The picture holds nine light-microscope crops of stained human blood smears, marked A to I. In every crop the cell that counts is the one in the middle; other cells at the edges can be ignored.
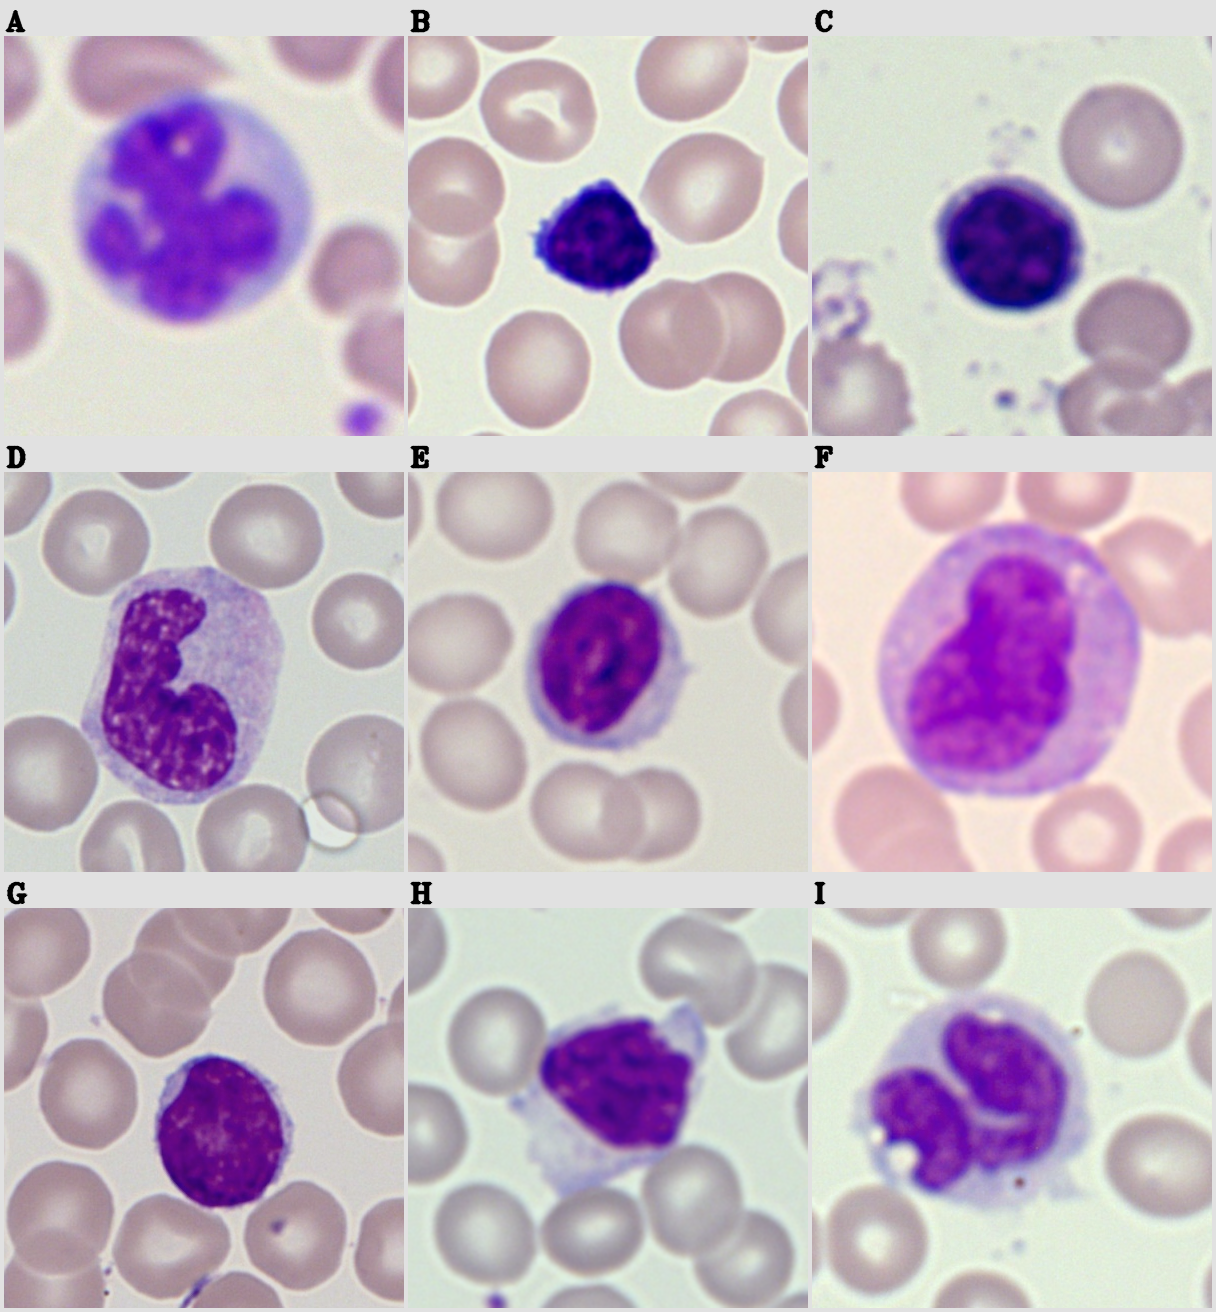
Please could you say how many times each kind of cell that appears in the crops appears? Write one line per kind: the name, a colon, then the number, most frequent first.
lymphocyte: 5
monocyte: 4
